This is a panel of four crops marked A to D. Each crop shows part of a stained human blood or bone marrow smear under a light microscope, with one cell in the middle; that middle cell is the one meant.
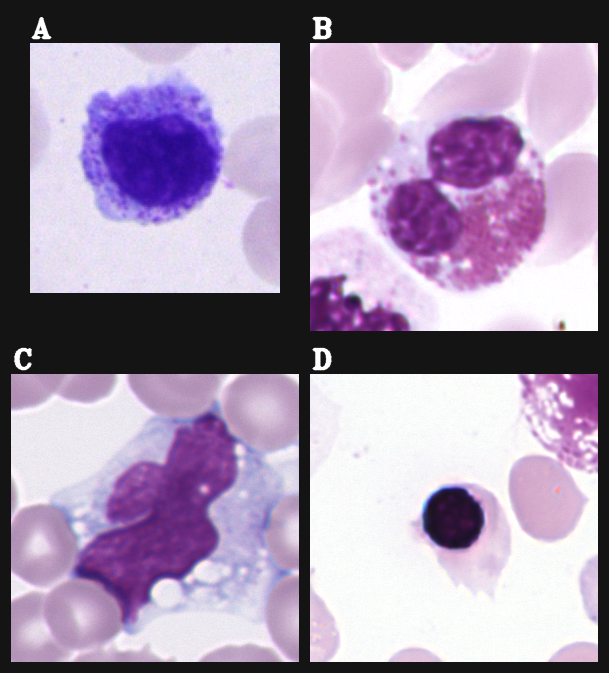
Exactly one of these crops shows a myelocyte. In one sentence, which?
Crop A is the one that shows a myelocyte.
